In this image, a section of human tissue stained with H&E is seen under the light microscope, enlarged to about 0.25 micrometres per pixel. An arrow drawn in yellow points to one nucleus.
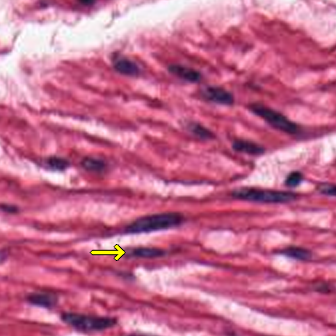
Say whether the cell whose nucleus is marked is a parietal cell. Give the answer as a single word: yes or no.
no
